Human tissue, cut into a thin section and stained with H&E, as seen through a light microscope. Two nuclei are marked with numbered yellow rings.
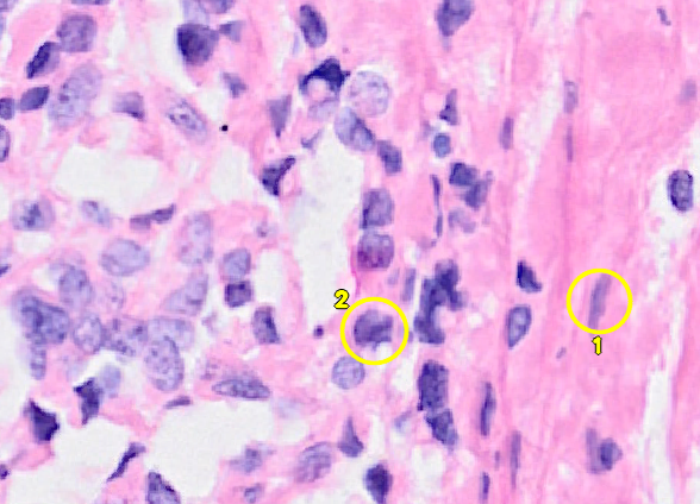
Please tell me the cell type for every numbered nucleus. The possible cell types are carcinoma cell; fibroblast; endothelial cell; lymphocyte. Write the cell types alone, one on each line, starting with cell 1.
fibroblast
carcinoma cell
